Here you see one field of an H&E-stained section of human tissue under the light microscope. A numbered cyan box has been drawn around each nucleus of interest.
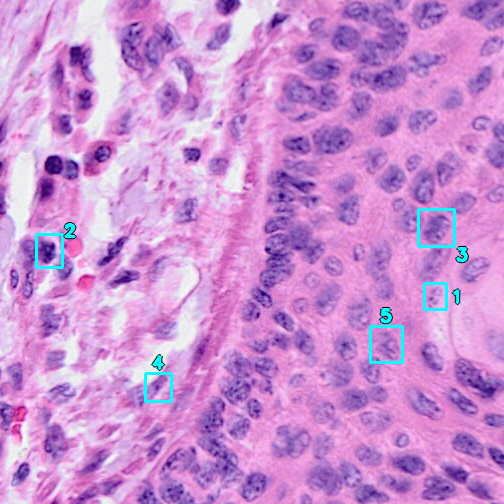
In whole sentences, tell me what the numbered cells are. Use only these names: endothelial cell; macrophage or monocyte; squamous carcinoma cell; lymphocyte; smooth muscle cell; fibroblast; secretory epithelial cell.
Cells 1, 3 and 5 are squamous carcinoma cells. Cell 2 is a lymphocyte. Cell 4 is a fibroblast.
